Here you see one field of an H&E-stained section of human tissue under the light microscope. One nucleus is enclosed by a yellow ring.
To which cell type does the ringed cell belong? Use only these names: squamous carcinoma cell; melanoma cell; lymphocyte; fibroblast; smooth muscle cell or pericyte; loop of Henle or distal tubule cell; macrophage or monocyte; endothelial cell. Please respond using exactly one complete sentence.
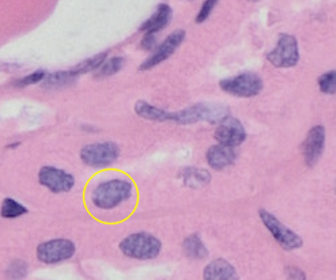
Right, so the ringed cell is a loop of Henle or distal tubule cell, to answer that.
